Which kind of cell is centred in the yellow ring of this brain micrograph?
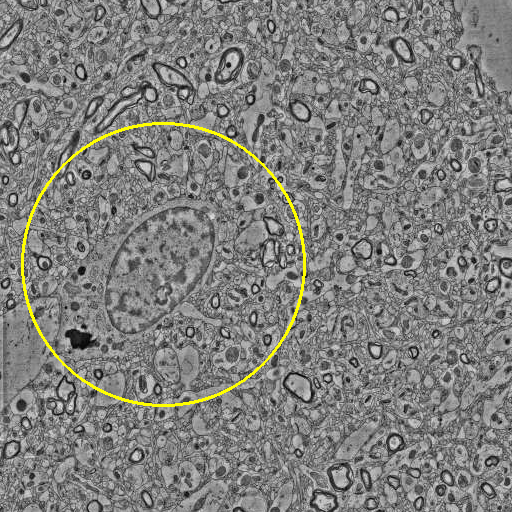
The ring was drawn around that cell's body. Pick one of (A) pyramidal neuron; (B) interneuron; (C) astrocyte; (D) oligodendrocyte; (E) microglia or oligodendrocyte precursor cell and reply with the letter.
D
